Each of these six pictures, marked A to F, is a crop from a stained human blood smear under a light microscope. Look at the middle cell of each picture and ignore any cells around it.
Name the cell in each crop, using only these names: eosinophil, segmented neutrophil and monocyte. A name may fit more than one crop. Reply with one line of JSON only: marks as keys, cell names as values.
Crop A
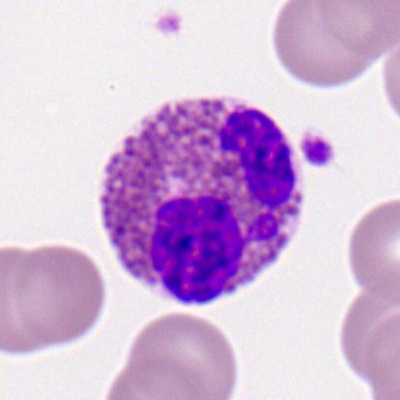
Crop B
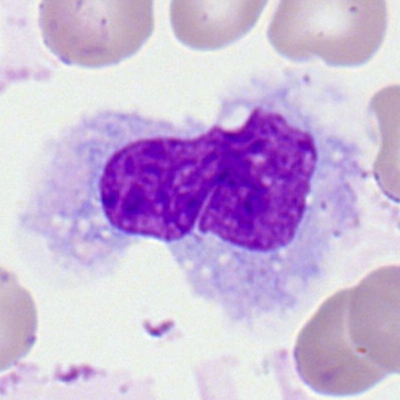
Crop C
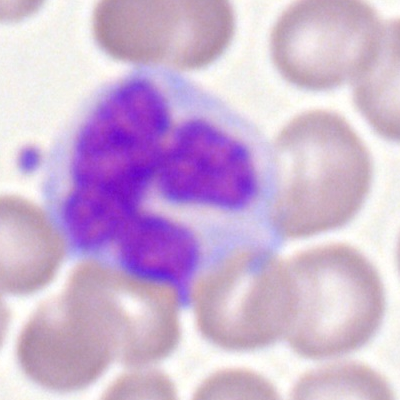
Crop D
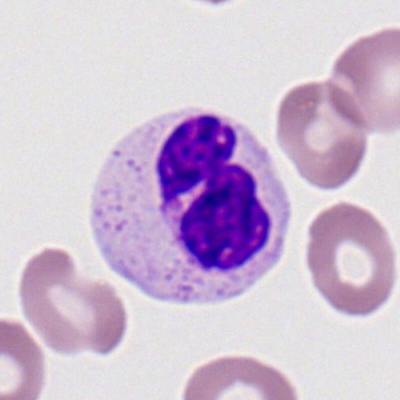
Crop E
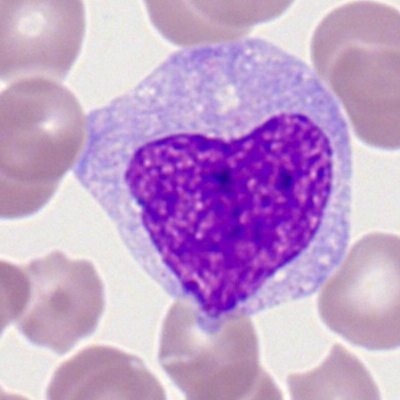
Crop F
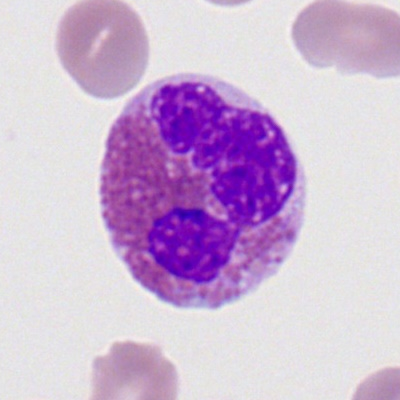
{"A": "eosinophil", "B": "monocyte", "C": "monocyte", "D": "segmented neutrophil", "E": "monocyte", "F": "eosinophil"}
